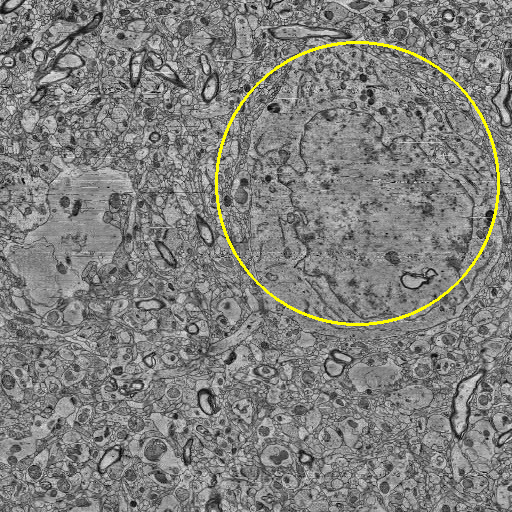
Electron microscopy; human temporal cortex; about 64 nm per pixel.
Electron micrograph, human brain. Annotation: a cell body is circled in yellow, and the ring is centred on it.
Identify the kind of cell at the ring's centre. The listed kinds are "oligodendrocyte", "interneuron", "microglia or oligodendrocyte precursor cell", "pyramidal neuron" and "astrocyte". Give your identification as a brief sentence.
The circled cell body is that of an interneuron.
